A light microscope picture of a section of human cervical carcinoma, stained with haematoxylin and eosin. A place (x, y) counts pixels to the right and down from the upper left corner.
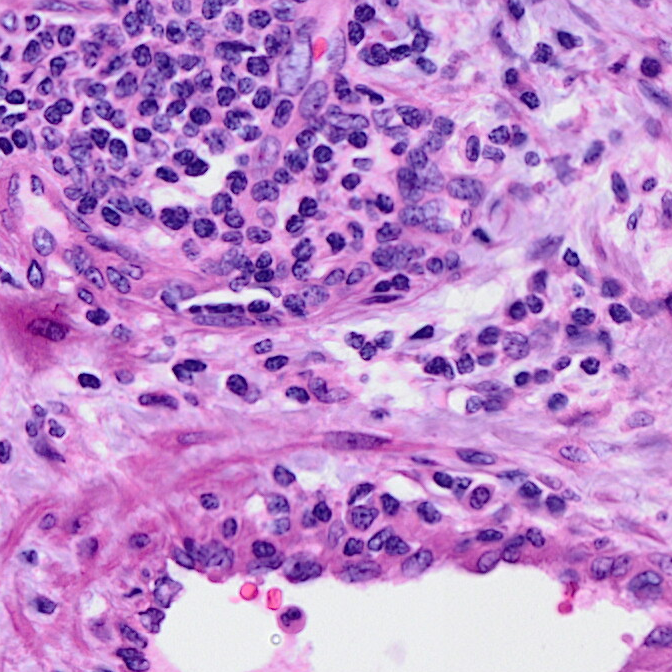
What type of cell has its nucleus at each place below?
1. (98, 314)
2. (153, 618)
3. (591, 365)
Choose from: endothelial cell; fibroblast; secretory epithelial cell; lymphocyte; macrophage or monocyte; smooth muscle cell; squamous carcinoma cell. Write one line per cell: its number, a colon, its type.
1: lymphocyte
2: endothelial cell
3: lymphocyte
